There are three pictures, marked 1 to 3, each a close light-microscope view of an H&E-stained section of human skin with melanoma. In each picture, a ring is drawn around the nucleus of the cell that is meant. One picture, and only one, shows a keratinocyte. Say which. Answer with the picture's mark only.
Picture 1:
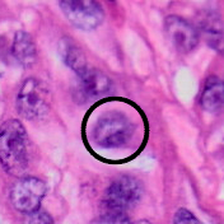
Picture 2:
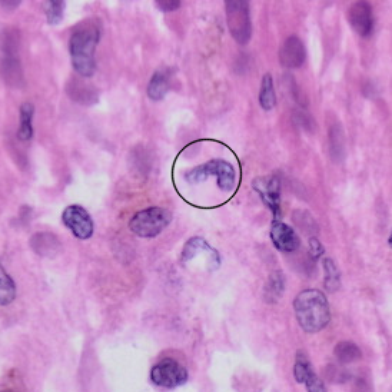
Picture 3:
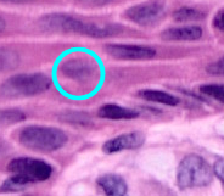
3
